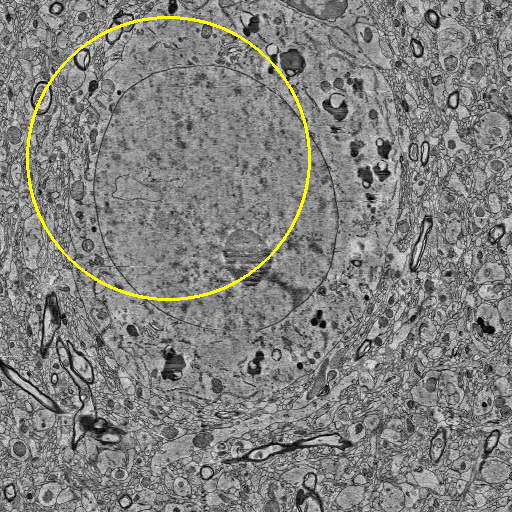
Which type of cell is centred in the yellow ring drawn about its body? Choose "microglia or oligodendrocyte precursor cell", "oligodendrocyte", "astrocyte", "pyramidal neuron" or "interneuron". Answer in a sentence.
The yellow ring surrounds the cell body of a pyramidal neuron.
